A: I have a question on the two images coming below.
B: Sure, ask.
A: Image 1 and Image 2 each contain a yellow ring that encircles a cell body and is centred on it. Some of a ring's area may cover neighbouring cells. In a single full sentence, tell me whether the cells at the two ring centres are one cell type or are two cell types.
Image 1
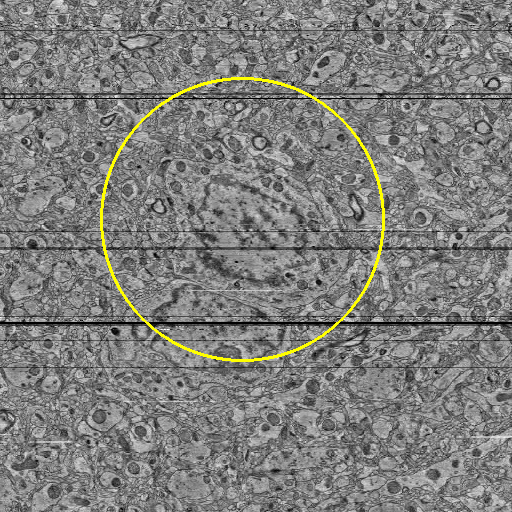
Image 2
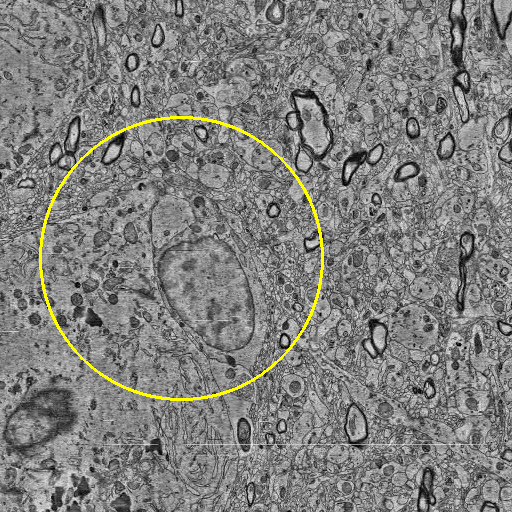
As for the ring-centre cells, the one in Image 1 and the one in Image 2 are two cell types.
